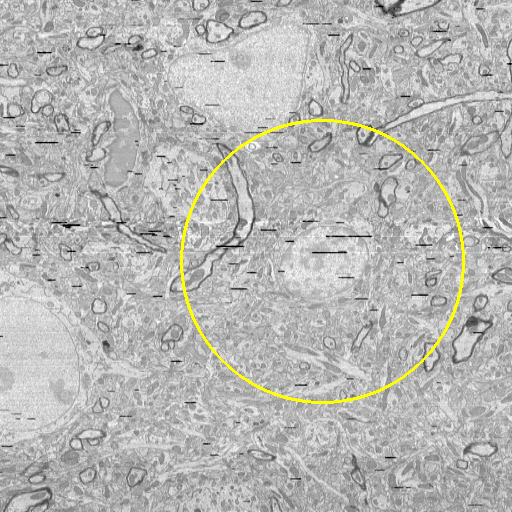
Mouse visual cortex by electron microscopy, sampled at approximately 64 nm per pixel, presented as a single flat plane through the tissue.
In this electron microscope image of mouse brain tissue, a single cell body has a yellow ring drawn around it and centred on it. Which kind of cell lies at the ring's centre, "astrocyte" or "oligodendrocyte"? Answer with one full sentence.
It is an oligodendrocyte whose cell body lies at the centre of the yellow ring here.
